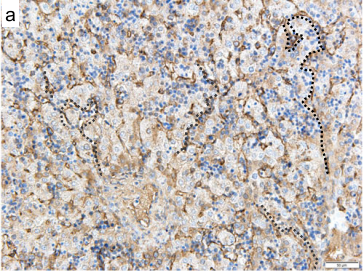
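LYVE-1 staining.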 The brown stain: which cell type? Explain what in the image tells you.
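Brown stain outlines thin linear profiles between plates of larger polygonal cells. The stained profiles run along the vascular channels. On this evidence: liver sinusoidal endothelial cells.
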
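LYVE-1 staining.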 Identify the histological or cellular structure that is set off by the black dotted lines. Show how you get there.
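Sinusoids. The dotted lines follow narrow channels running between plates of large pale cells. The channels are lined by brown-stained thin cells.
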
